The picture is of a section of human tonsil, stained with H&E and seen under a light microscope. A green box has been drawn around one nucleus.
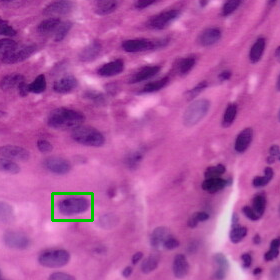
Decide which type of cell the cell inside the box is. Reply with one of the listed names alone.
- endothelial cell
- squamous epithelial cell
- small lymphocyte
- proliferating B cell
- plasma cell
squamous epithelial cell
